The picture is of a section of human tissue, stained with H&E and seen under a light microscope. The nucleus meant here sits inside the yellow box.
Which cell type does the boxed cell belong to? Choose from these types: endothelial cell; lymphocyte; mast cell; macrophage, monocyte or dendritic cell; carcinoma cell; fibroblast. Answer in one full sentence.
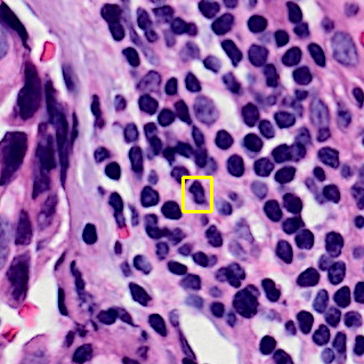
Microscopically, the boxed cell is categorized as a lymphocyte.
